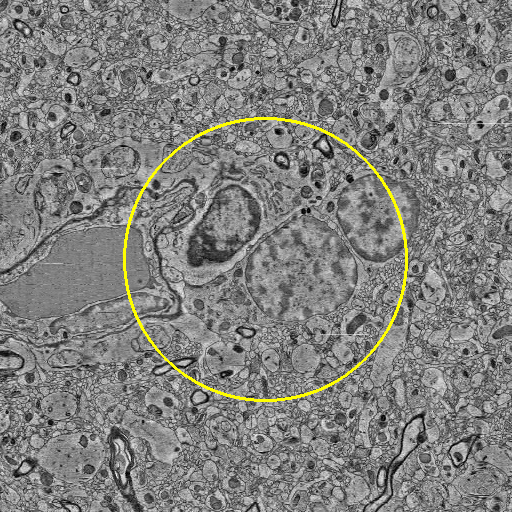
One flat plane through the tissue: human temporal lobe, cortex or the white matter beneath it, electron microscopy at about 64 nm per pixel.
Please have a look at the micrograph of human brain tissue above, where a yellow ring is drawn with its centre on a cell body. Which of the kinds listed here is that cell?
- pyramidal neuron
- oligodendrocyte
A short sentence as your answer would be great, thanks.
At the centre of the ring sits an oligodendrocyte.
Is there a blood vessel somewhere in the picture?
Yes, a blood vessel is present in this picture.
